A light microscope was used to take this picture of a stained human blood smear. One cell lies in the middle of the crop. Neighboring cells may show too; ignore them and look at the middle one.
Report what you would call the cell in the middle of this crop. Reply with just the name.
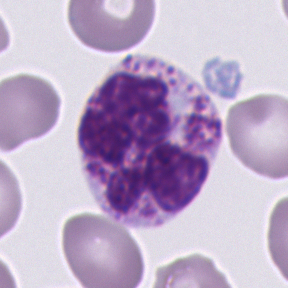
basophil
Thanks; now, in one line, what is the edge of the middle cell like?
The cell shows a smooth outline that lacks any surface projections.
